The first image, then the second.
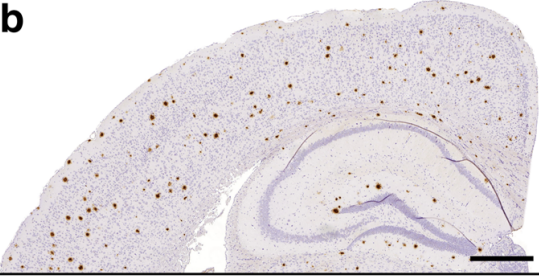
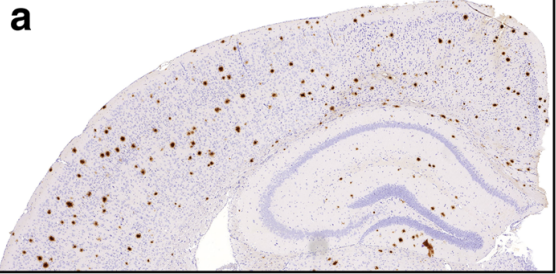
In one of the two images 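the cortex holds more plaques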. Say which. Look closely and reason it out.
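The second image. First image: brown round deposits are scattered fairly sparsely through the cortex.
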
